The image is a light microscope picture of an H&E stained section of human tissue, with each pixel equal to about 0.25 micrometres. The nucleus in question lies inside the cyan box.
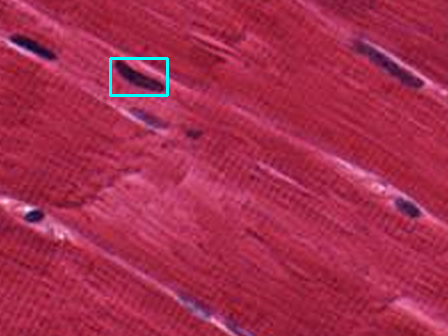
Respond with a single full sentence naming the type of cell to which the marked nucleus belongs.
The marked nucleus sits within a skeletal muscle fibre.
